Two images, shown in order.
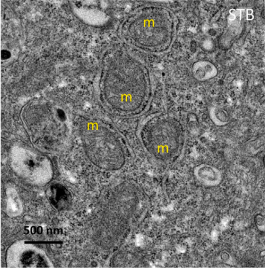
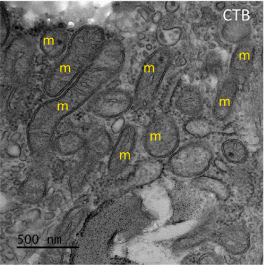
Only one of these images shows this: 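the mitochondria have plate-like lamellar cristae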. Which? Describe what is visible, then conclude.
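First image: round mitochondria with a dark matrix and small round vesicle-like cristae. Second image: elongated mitochondria with parallel plate-like cristae.
The second image.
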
